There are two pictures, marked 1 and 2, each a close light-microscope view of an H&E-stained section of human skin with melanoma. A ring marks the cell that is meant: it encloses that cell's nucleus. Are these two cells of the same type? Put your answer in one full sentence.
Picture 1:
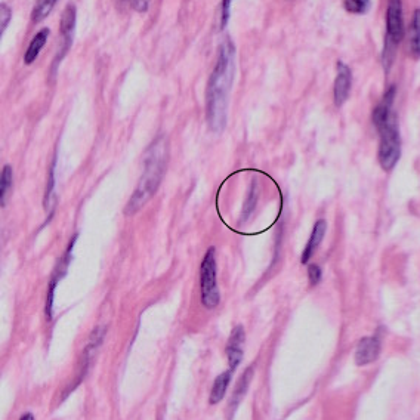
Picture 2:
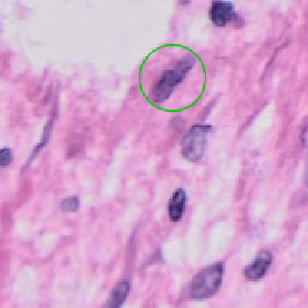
No. Picture 1 shows a “fibroblast or myofibroblast”, but picture 2 shows a “macrophage or monocyte”.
